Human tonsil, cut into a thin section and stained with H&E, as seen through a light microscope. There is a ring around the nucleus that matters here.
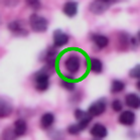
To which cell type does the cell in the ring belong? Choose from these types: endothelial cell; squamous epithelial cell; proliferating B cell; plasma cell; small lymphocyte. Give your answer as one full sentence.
As far as its identity is concerned, the cell in the ring is a small lymphocyte.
